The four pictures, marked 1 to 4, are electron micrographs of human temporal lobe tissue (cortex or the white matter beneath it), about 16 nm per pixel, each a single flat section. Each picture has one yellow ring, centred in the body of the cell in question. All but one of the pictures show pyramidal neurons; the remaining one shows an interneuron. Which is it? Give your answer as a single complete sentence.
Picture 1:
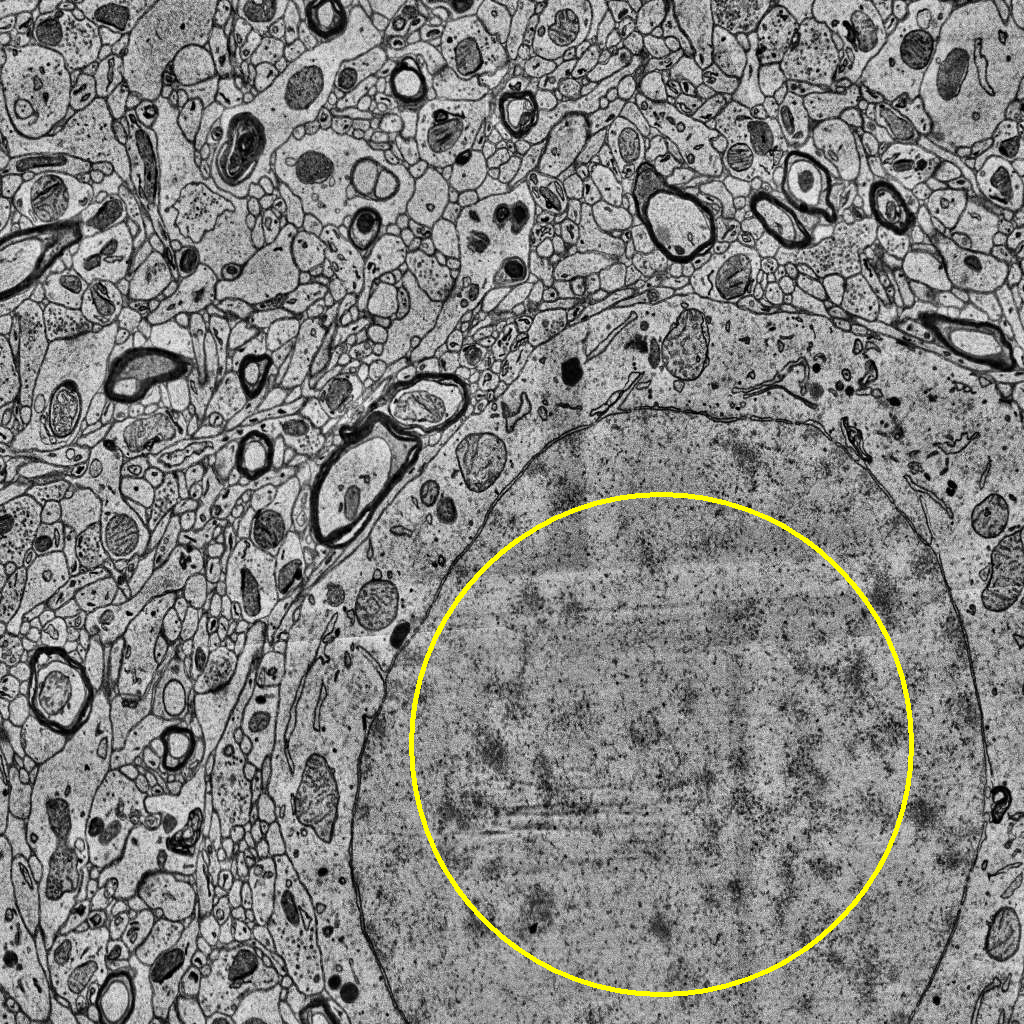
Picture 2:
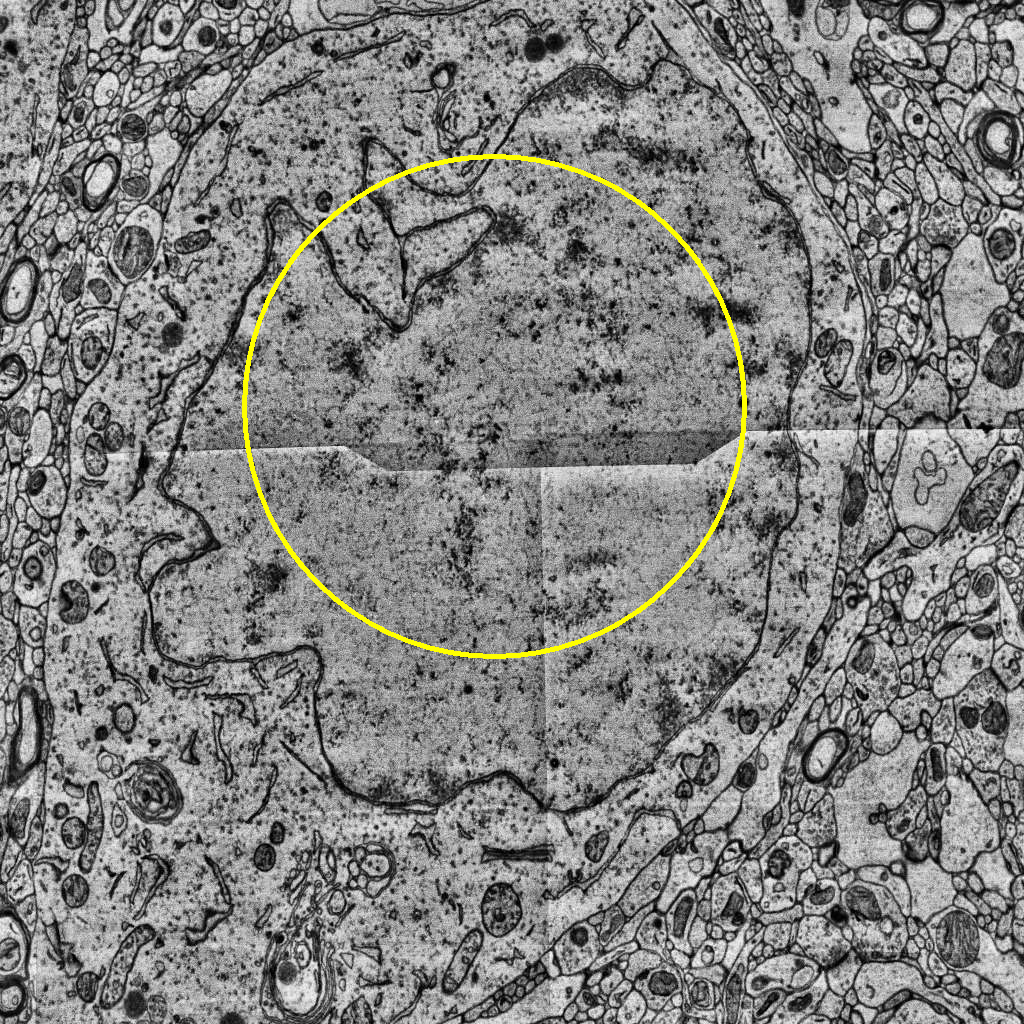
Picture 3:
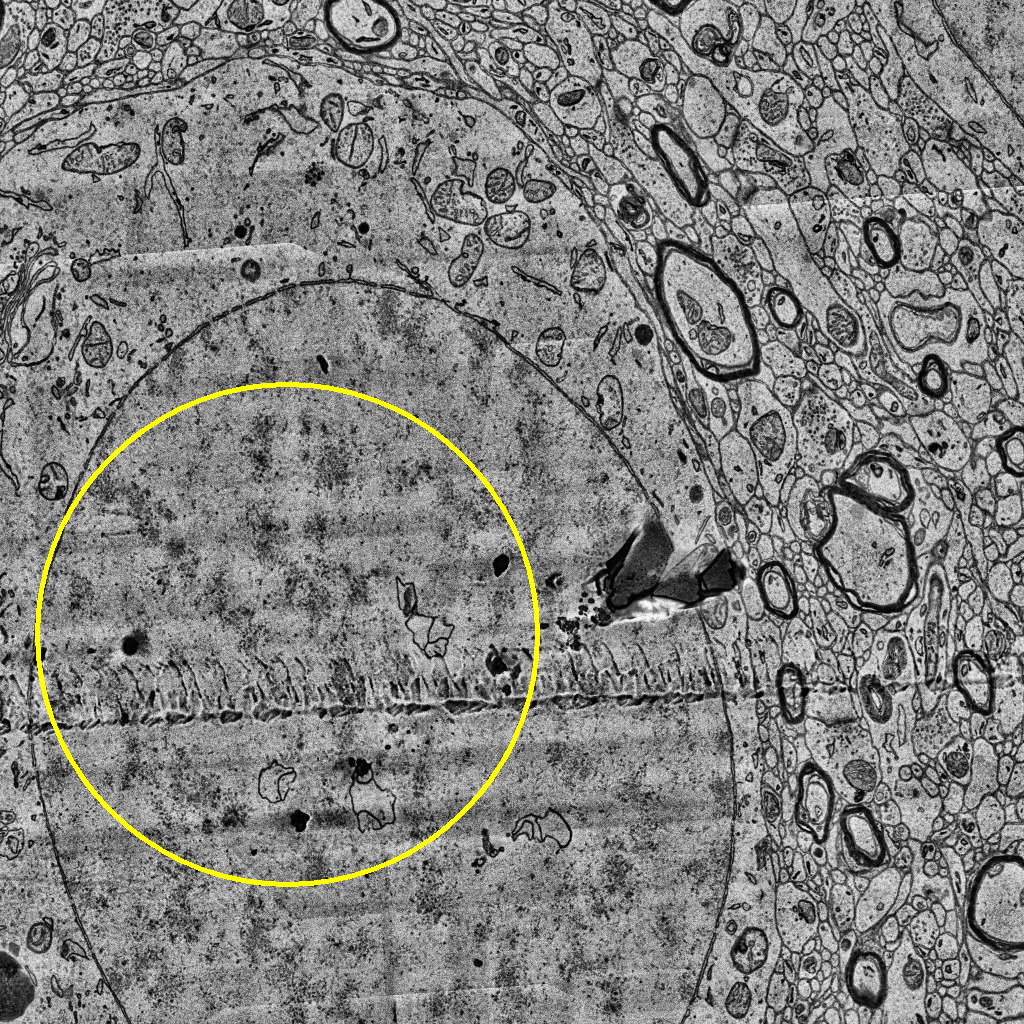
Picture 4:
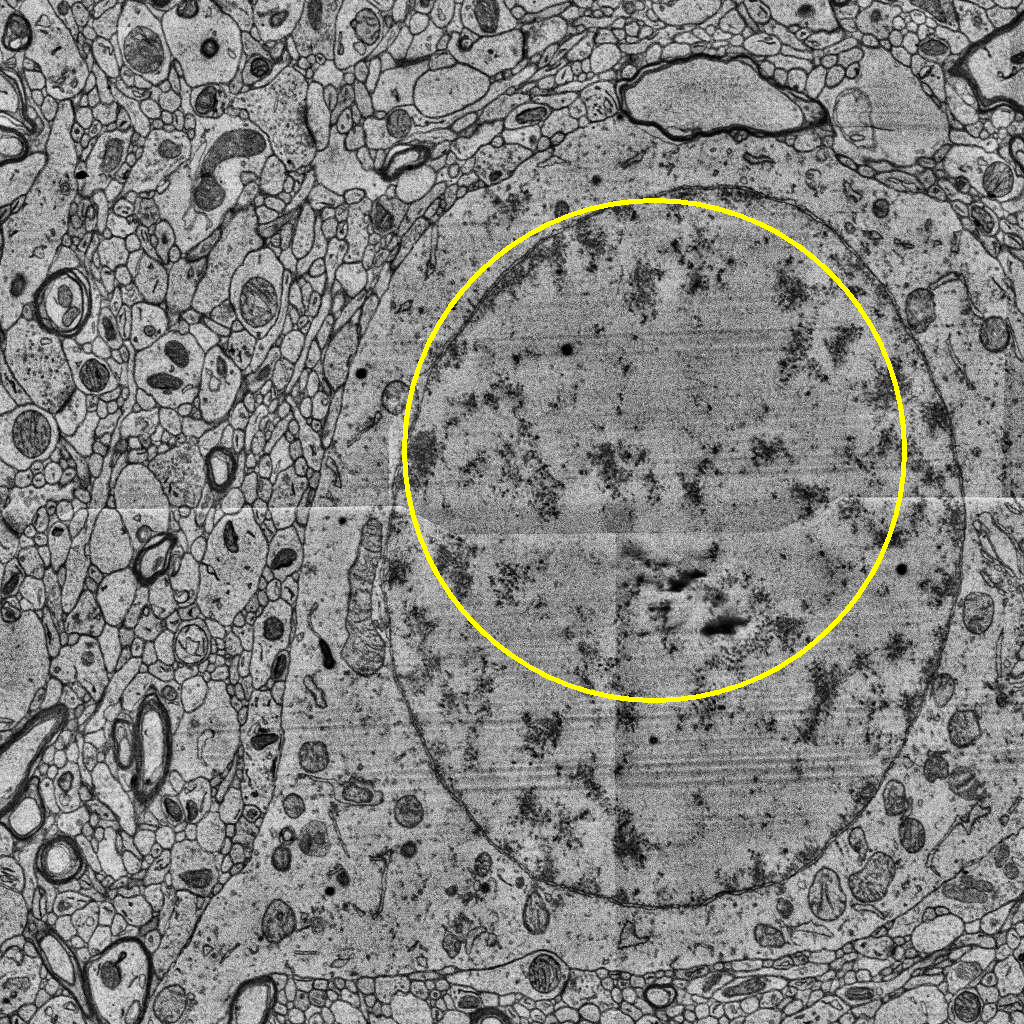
The picture with the interneuron is 2.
